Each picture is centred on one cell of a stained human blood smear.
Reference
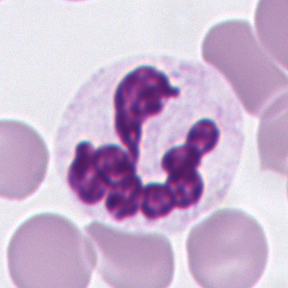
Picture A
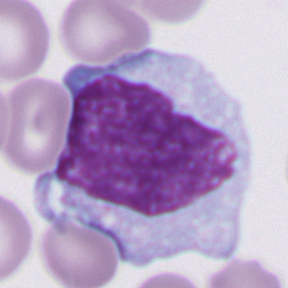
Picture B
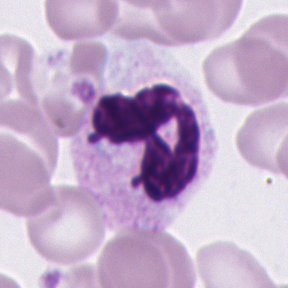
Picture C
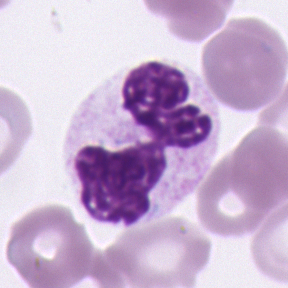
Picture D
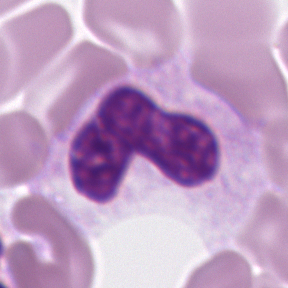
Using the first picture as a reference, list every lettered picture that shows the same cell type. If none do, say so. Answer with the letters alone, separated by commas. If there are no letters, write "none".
B, C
